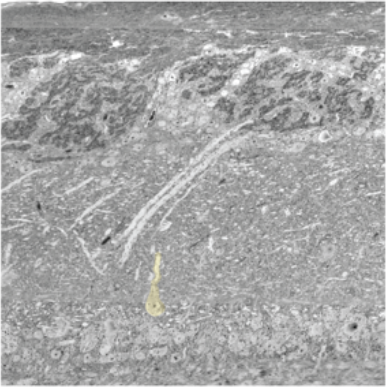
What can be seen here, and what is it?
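This is the olfactory bulb in low-magnification electron microscopy, showing its layers stacked from top to bottom. Near the top a row of dark, rounded patches of neuropil, the glomeruli, is surrounded by small cell bodies. Below them lies a broad, fairly even neuropil layer through which long pale dendrites run obliquely upward toward the glomeruli, some in close parallel pairs.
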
